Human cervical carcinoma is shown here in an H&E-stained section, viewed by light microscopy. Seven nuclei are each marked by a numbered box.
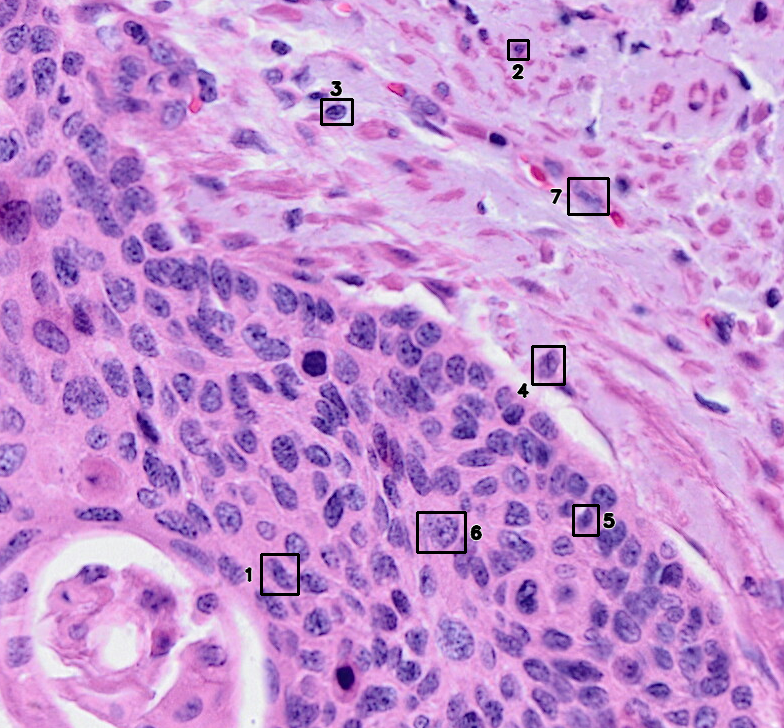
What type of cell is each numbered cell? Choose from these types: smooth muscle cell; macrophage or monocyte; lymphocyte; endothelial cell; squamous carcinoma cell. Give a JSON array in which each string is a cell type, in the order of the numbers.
["squamous carcinoma cell", "smooth muscle cell", "lymphocyte", "macrophage or monocyte", "squamous carcinoma cell", "squamous carcinoma cell", "endothelial cell"]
